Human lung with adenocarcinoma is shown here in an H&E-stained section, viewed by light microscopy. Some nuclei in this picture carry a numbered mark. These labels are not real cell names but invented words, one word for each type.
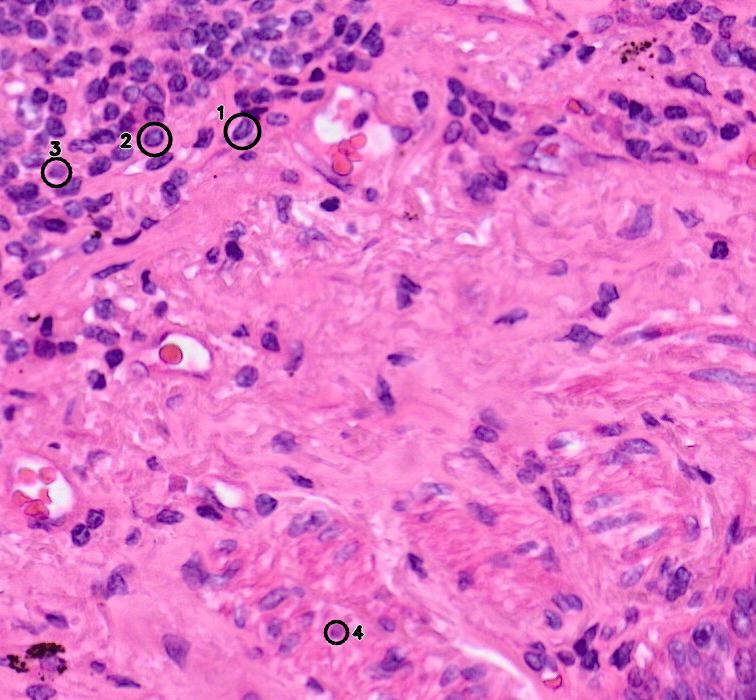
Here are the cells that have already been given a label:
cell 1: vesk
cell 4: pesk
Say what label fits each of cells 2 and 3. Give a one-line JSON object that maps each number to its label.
{"2": "vesk", "3": "vesk"}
